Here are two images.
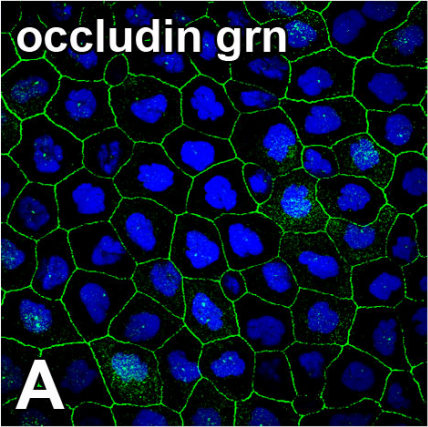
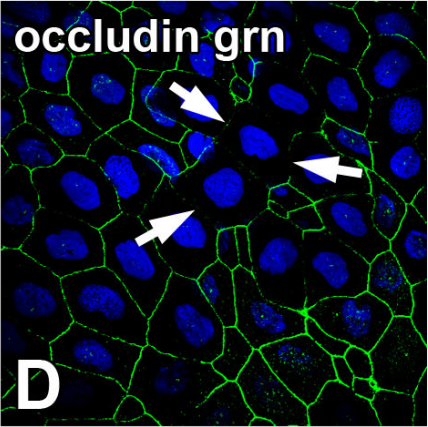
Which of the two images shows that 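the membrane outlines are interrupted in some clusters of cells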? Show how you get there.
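Second image: green borders are missing or faint around a group of cells near the arrows. First image: green borders outline nearly every cell continuously.
Conclusion: the second image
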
